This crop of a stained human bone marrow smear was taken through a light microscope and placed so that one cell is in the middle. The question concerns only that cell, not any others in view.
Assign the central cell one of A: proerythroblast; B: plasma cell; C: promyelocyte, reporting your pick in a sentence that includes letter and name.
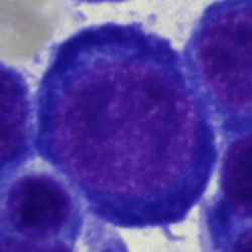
The cell placed in the middle is a proerythroblast; option A is correct.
